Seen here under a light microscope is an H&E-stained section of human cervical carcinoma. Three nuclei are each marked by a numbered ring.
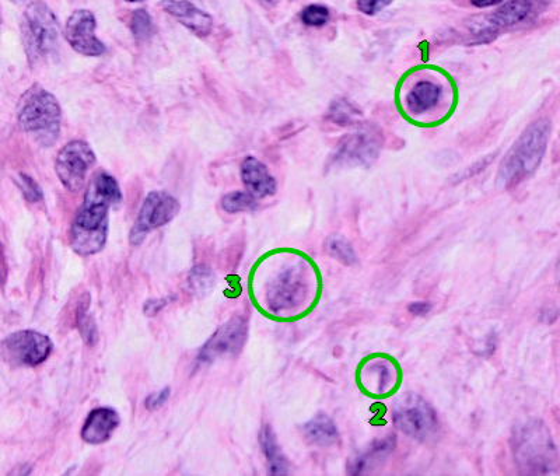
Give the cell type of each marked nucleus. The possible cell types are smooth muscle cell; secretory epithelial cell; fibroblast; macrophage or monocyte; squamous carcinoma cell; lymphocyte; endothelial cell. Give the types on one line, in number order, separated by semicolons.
lymphocyte; fibroblast; fibroblast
